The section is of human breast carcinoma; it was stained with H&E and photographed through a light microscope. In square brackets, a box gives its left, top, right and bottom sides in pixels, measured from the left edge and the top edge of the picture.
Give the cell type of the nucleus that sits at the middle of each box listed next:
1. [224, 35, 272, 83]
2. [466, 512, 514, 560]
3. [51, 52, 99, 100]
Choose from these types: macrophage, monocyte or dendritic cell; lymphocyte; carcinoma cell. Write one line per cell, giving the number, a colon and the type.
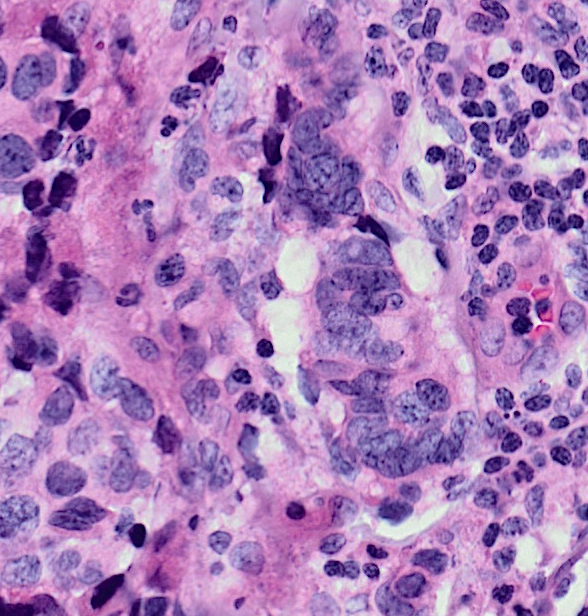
1: macrophage, monocyte or dendritic cell
2: lymphocyte
3: carcinoma cell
